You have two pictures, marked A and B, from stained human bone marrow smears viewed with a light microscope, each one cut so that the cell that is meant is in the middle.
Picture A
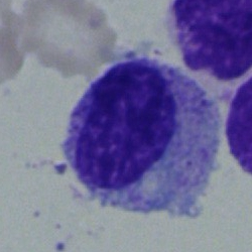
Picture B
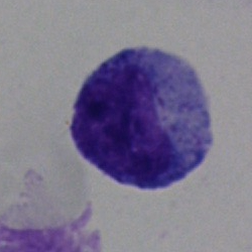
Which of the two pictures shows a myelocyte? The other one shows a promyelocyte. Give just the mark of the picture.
A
